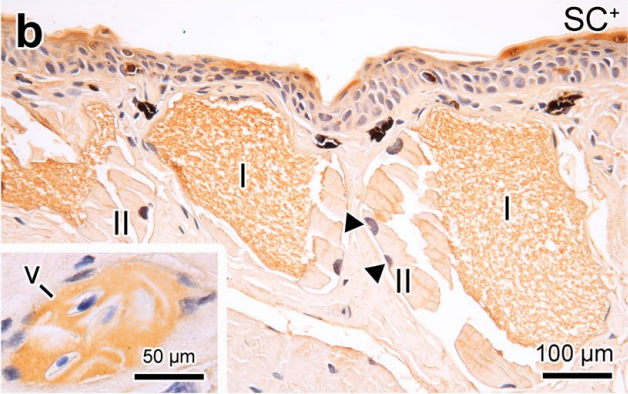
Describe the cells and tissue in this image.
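Section of amphibian skin in which very large poison glands lie below the epidermis. Their granular contents are stained intensely and evenly orange-brown. Between them lie smaller, paler elongated profiles, with dark nuclei at their edges. The epidermis above shows some light brown stain, strongest at the surface, and black pigment clumps lie beneath it. The inset shows a blood vessel with oval nucleated blood cells suspended in orange-stained fluid.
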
